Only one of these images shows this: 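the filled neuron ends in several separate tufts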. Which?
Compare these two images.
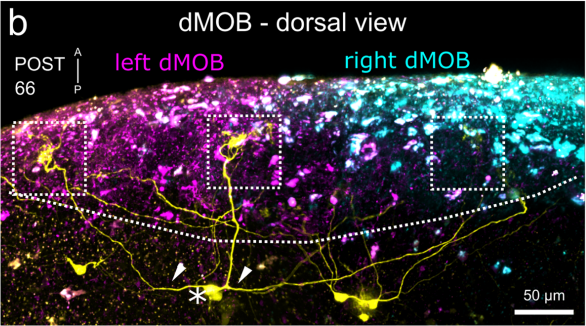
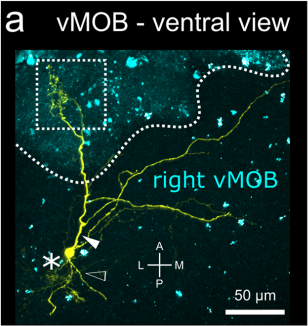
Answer: the first image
